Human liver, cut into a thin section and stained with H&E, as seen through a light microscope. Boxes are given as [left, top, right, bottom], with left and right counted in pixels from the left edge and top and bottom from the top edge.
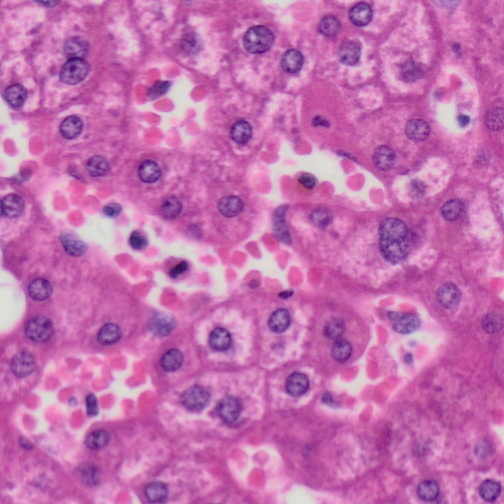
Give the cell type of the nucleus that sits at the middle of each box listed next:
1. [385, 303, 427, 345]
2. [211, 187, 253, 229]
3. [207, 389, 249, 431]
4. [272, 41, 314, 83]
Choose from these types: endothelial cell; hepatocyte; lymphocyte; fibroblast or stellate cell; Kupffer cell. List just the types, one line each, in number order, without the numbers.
Kupffer cell
hepatocyte
hepatocyte
hepatocyte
